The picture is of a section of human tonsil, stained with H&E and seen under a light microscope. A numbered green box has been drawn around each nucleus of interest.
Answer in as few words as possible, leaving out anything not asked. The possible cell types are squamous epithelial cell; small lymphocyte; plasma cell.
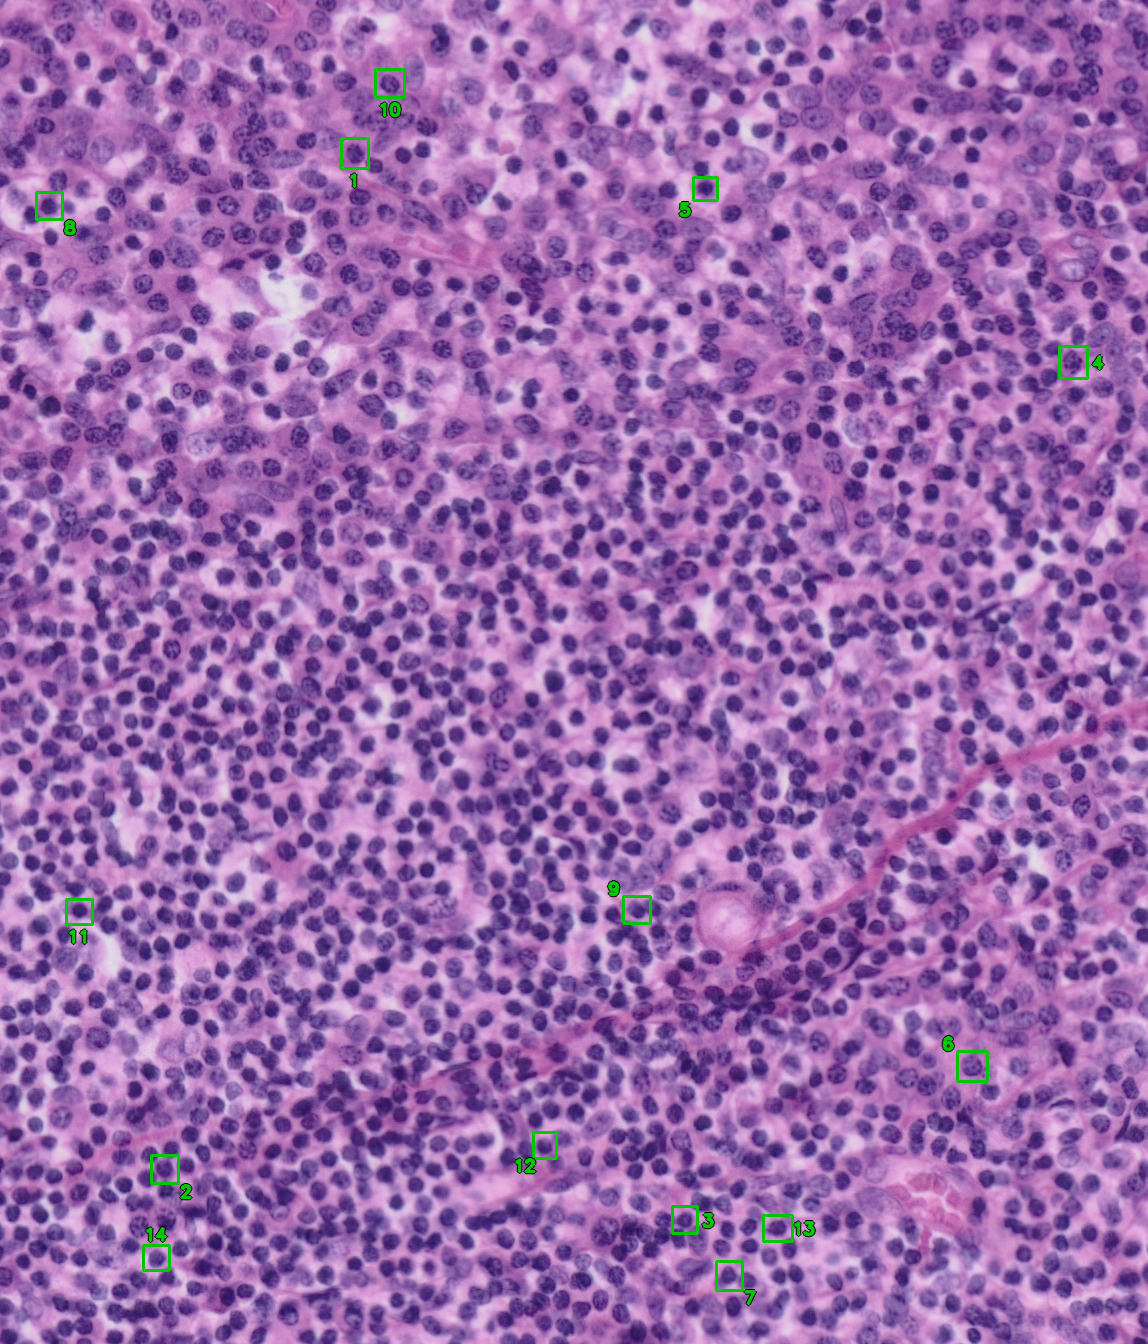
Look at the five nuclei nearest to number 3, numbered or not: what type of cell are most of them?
small lymphocyte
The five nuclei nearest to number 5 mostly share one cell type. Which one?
squamous epithelial cell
